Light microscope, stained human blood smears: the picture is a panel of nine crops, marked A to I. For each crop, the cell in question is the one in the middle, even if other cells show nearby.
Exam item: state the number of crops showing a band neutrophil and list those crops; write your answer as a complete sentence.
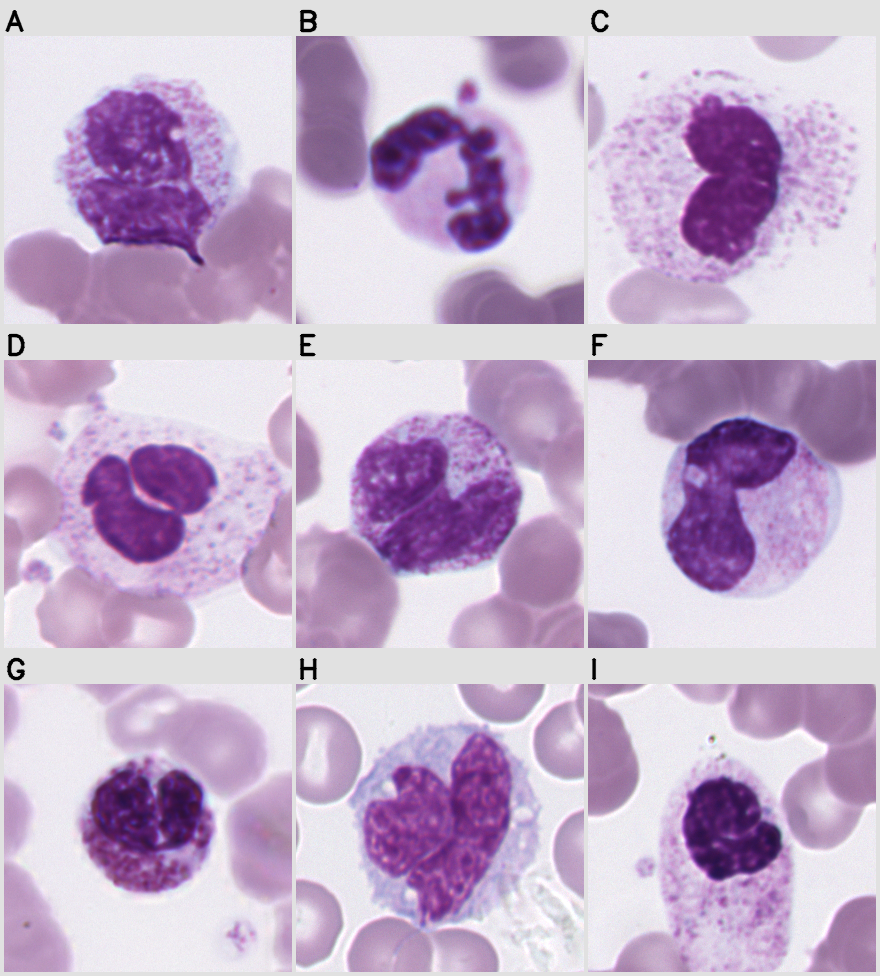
The crops with band neutrophils are A, C, E and F, four in total.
